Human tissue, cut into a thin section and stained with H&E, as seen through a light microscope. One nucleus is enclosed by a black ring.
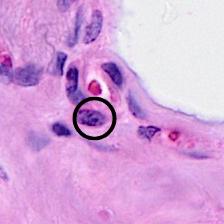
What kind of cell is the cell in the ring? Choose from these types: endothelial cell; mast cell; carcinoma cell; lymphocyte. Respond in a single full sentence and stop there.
So far as cell type goes, the cell in the ring is a mast cell.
